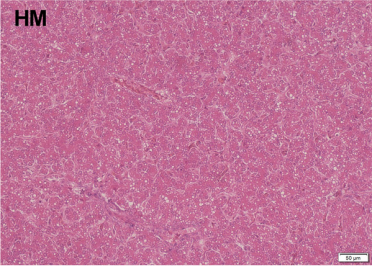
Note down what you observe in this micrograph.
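This section of liver shows hepatocytes with largely compact pink cytoplasm. The cells are polygonal and arranged in cords separated by narrow, slit-like spaces, with small round purple nuclei distributed evenly across the field. Clear vacuoles are few and small, appearing only as fine pale spots rather than large round droplets, so the parenchyma looks solid and evenly stained. A few small vascular spaces can be seen among the cords. Compared with fatty liver, the tissue keeps its dense, uniform architecture with little sign of fat accumulation.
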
